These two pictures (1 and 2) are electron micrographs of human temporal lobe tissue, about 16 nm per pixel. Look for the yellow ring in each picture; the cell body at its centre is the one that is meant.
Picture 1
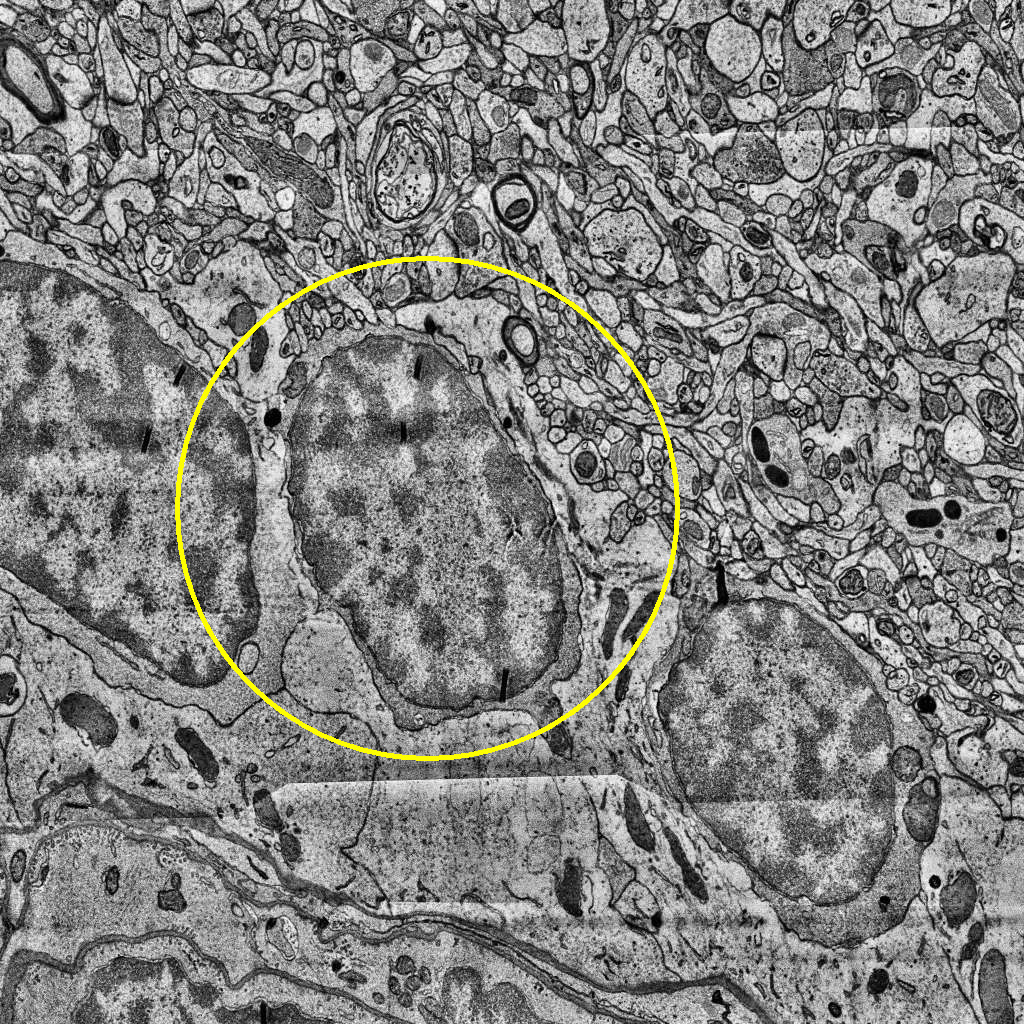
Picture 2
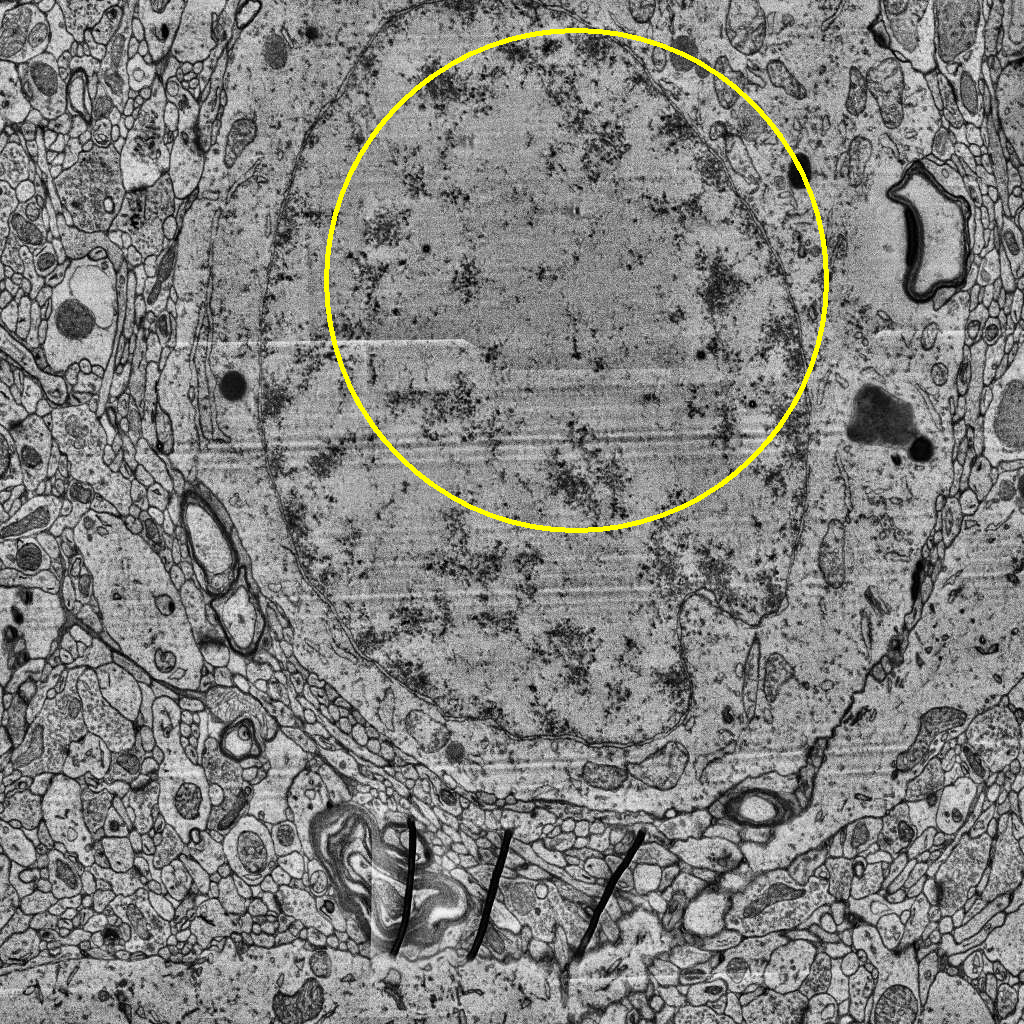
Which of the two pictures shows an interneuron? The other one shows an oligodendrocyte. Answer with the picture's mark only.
2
